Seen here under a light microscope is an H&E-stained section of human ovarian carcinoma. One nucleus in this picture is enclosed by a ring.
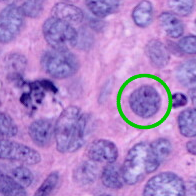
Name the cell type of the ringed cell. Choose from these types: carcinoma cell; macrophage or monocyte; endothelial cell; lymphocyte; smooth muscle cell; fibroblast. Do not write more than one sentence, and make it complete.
It is as a carcinoma cell that the ringed cell is classified.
